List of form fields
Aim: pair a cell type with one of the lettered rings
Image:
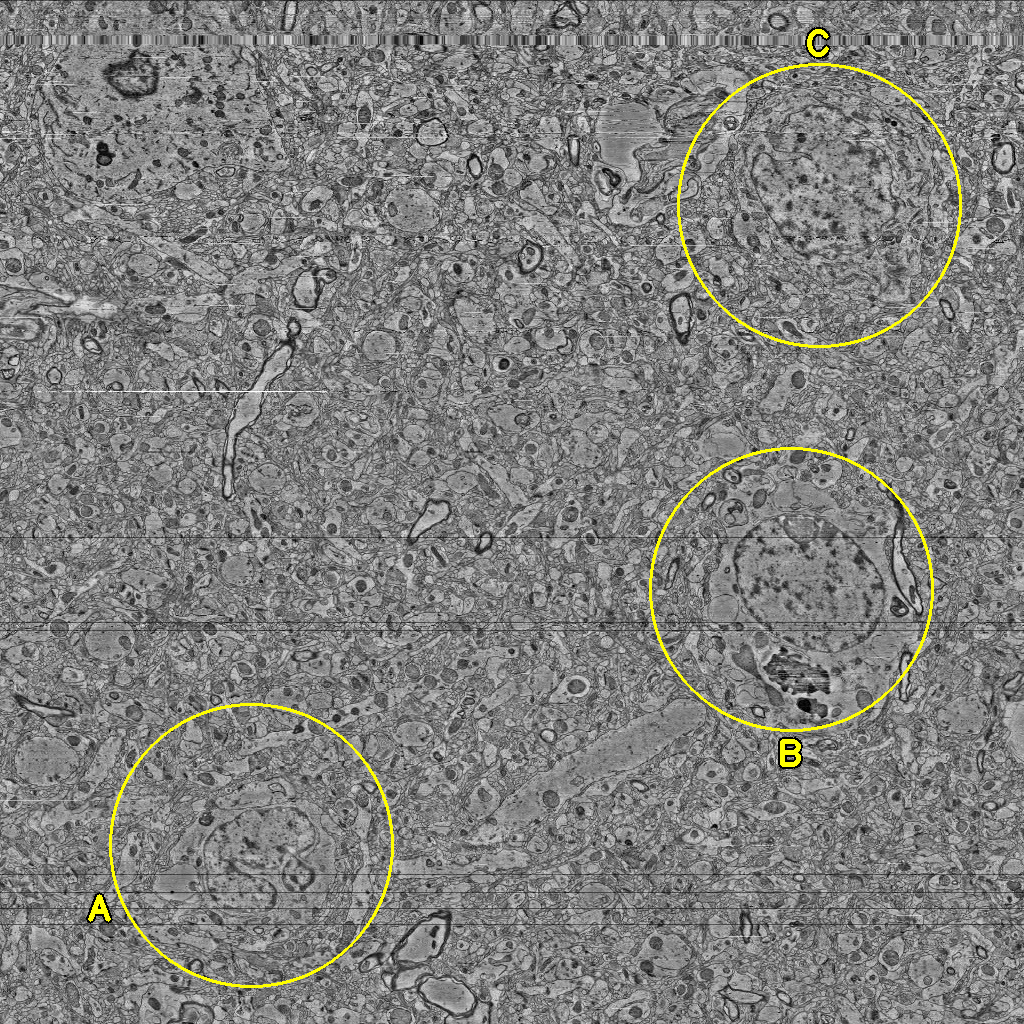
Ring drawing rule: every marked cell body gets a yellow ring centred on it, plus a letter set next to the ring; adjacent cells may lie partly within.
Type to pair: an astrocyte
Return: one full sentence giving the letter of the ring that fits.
Ring B is the one whose central cell body is that kind of cell.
